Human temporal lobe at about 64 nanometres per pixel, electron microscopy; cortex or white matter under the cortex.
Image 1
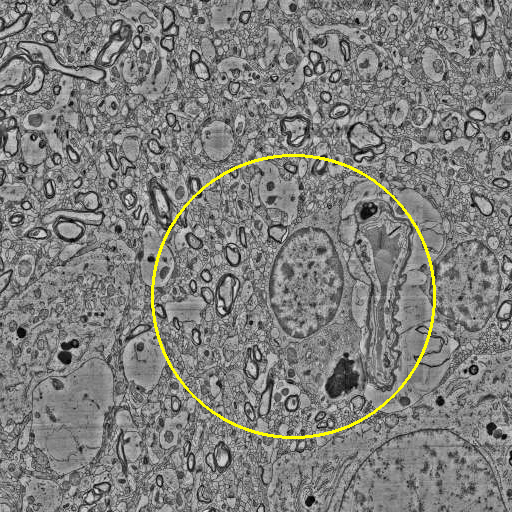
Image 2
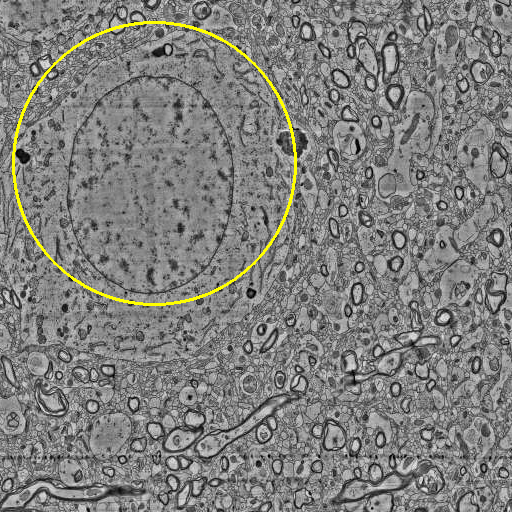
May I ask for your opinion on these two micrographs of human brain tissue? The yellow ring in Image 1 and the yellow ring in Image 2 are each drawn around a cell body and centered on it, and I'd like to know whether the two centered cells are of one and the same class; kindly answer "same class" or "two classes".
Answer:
two classes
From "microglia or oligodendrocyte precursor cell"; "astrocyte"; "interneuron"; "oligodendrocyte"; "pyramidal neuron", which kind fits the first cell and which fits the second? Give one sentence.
The cell marked in the first picture is an oligodendrocyte, and the one marked in the second is a pyramidal neuron.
